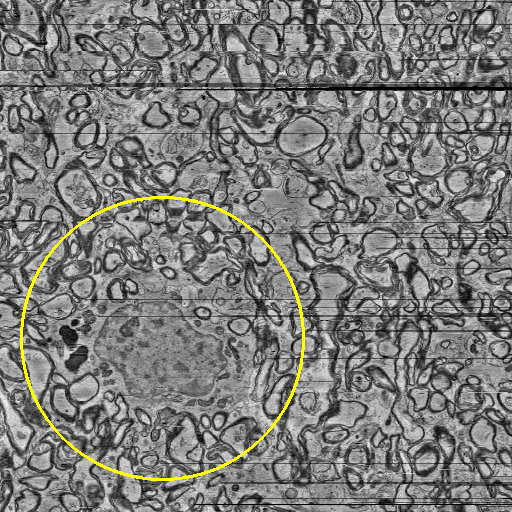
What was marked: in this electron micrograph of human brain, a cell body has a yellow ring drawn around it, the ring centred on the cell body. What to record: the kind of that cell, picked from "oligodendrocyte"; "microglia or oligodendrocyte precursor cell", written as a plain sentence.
The centred cell is an oligodendrocyte.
